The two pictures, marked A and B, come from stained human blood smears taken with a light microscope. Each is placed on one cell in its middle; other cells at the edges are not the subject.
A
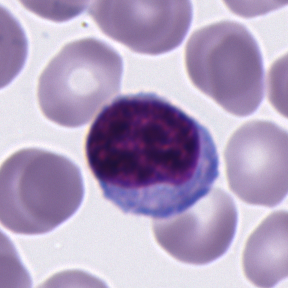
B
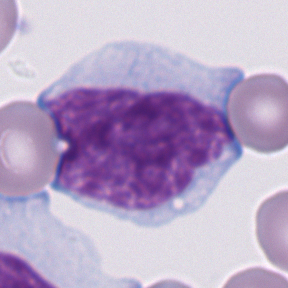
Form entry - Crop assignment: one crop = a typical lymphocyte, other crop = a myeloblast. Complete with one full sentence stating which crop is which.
Crop A should be reported as a typical lymphocyte, and crop B as a myeloblast.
